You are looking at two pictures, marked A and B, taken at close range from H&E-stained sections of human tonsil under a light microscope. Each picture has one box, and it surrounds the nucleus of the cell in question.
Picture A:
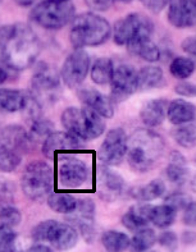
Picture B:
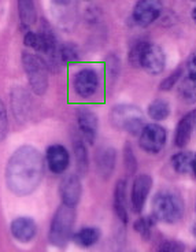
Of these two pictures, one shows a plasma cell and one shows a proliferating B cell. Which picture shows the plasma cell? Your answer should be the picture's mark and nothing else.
B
